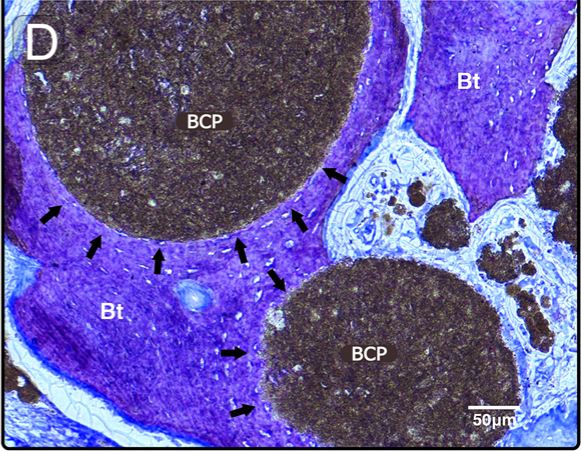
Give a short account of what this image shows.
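Bone tissue stained purple closely surrounds two dark brown, rounded, granular particles, contacting their surfaces without a gap. Osteocytic cells in small elongated lacunae lie in the bone matrix, and those beside the particles are aligned parallel to the curved particle surface. Pale blue loose connective tissue fills the spaces between the bone trabeculae.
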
